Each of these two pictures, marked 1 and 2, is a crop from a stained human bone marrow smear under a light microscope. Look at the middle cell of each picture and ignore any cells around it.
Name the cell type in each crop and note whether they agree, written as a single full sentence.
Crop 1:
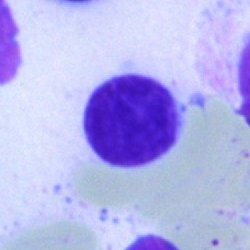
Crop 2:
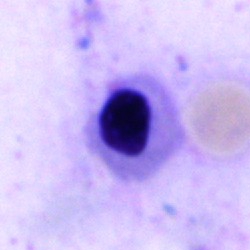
No, crop 1 displays a lymphocyte, and crop 2 displays an erythroblast.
